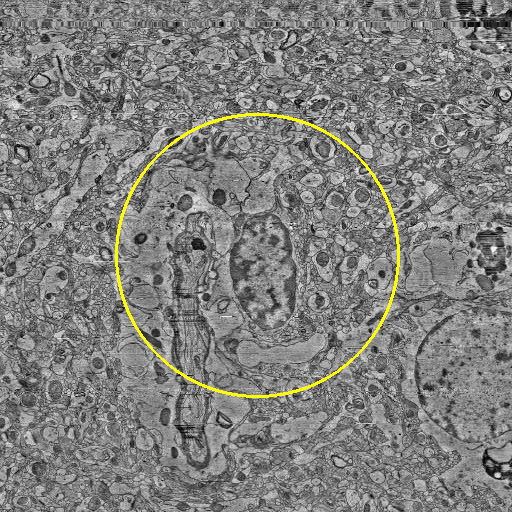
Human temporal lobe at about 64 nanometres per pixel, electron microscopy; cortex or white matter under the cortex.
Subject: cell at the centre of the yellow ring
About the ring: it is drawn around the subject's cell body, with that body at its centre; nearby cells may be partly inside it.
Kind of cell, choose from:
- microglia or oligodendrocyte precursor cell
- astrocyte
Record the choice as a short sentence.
The subject cell is a microglial cell or oligodendrocyte precursor cell.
